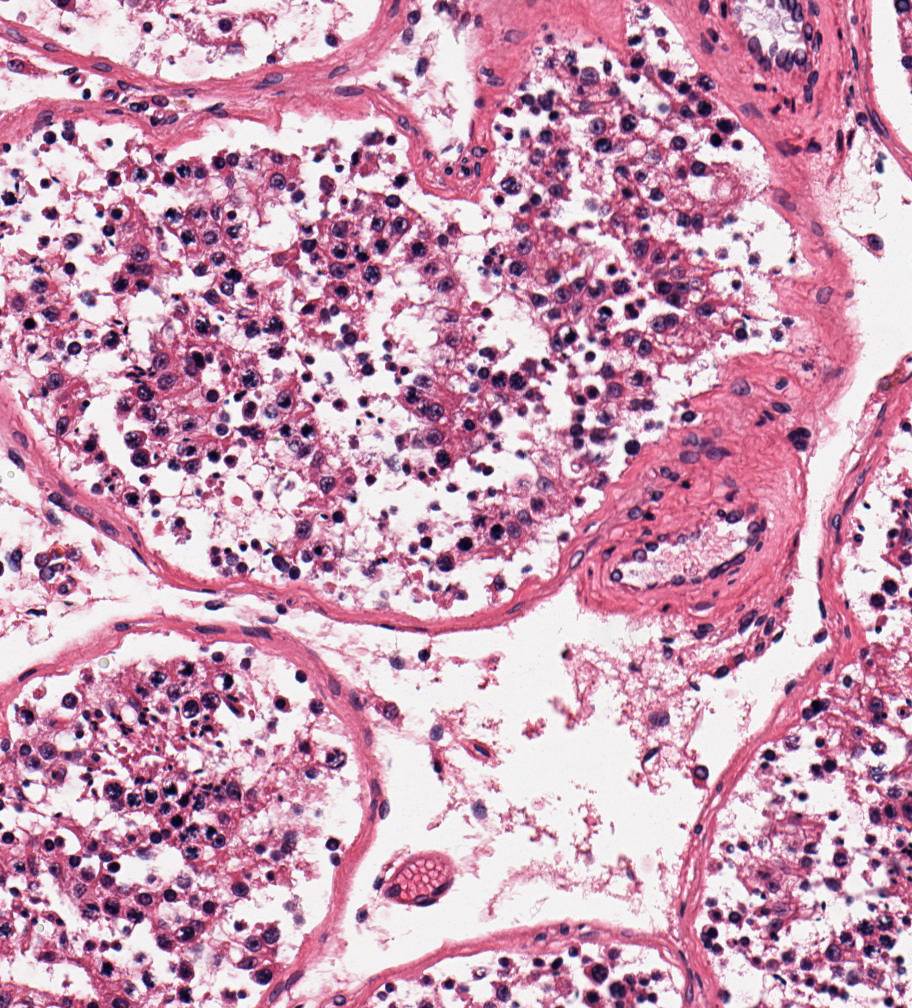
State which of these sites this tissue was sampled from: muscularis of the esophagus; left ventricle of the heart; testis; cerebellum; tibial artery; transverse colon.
testis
